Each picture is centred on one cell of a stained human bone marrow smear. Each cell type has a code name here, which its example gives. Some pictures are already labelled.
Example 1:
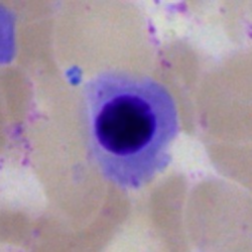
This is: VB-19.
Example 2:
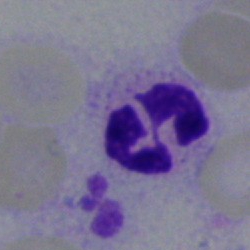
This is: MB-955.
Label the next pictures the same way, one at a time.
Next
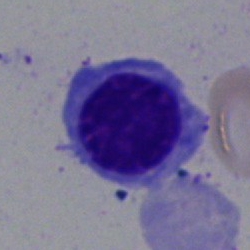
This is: VB-19.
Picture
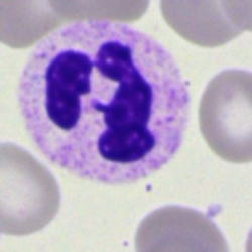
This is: MB-955.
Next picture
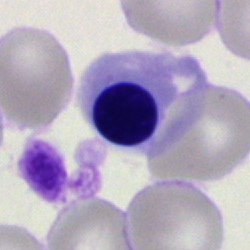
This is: VB-19.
